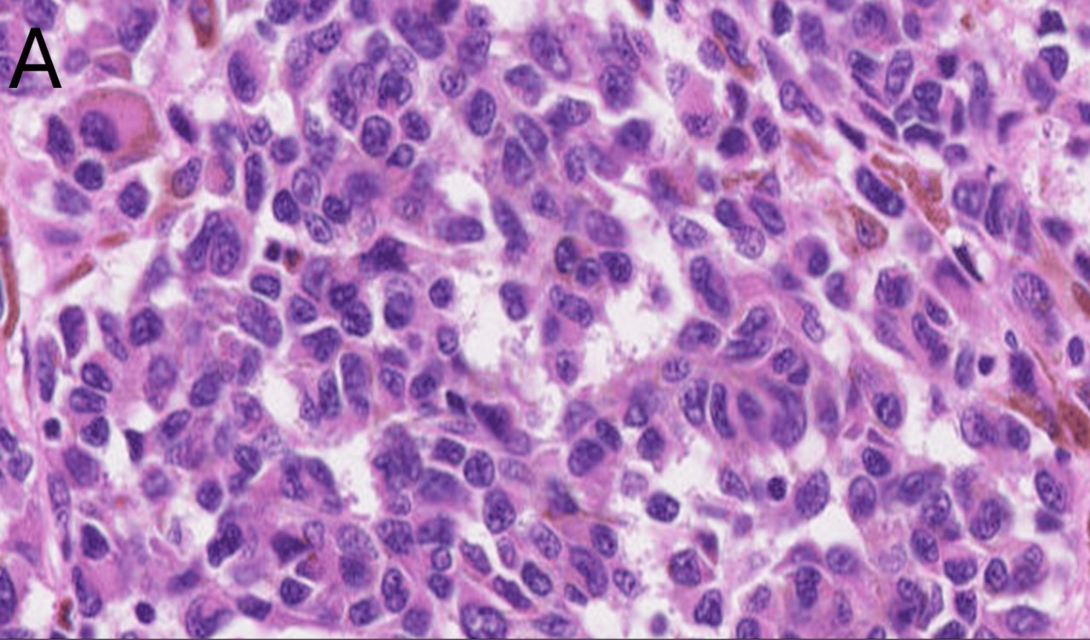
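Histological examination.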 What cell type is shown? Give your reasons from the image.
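Sheets of loosely cohesive, plump polygonal to spindled cells. Nuclei are large, irregular and vary in size, some with visible nucleoli. Brown pigment granules lie in and between some cells.
Conclusion: atypical melanocytes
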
